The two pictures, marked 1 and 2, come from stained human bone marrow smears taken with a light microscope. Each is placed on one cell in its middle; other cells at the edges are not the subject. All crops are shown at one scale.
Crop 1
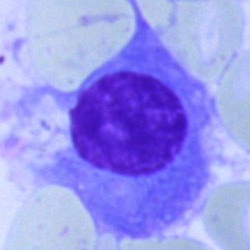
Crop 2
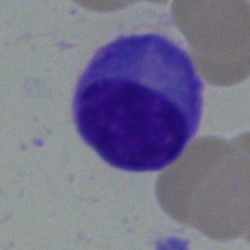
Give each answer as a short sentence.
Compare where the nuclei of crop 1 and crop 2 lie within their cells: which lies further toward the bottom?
In crop 2 the nucleus is shifted more toward the bottom.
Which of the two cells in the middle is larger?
It is the cell in crop 1, about 1.5 times as large in area as the cell in crop 2.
